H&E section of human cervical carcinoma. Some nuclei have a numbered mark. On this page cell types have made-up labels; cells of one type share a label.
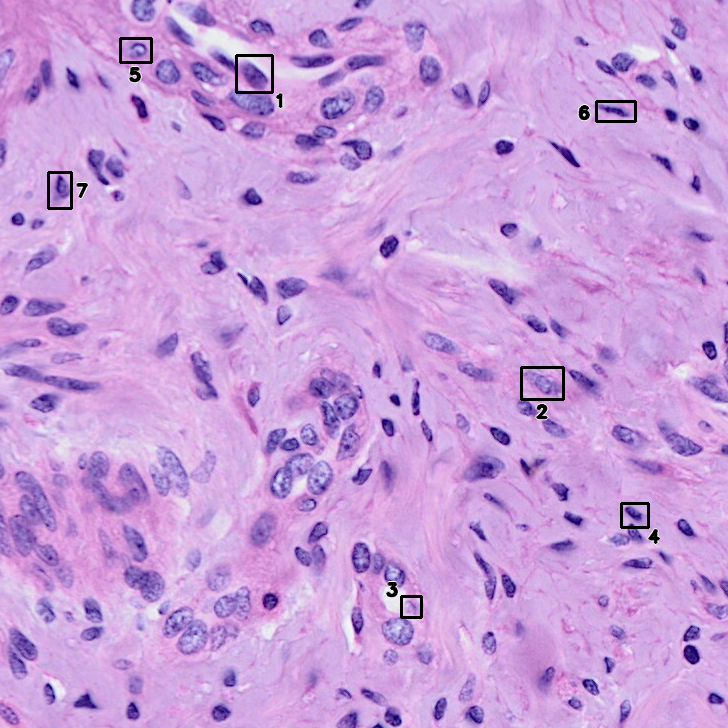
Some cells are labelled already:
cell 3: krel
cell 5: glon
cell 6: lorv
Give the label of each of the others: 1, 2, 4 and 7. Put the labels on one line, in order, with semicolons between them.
krel; glon; lorv; lorv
